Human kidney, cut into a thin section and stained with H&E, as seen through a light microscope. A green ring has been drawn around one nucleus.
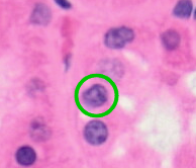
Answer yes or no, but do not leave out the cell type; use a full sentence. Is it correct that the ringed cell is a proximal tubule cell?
Yes, the ringed cell is identified as a proximal tubule cell in this section.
